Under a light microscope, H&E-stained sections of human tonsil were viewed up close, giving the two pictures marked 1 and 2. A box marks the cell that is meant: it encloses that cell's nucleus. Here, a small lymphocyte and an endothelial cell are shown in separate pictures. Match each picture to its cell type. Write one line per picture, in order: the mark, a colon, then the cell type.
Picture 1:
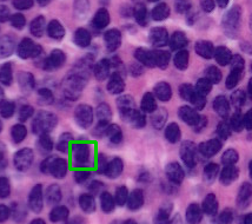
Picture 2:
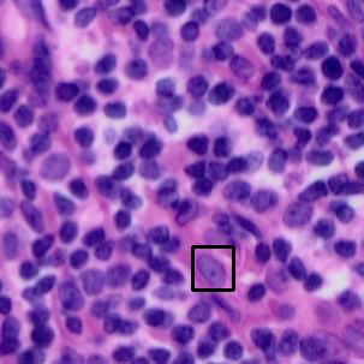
1: small lymphocyte
2: endothelial cell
